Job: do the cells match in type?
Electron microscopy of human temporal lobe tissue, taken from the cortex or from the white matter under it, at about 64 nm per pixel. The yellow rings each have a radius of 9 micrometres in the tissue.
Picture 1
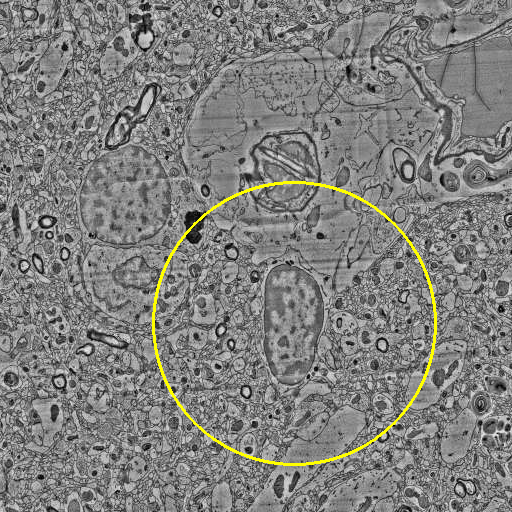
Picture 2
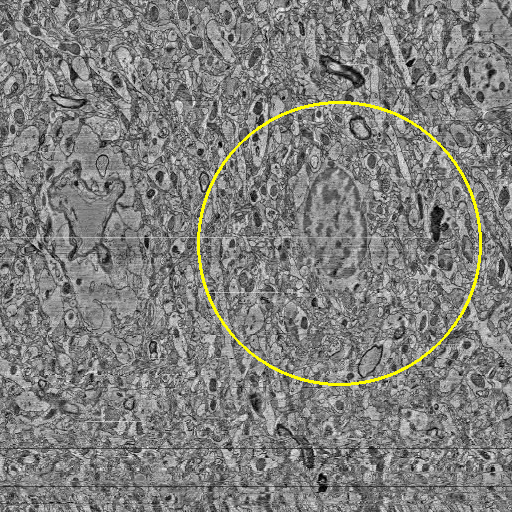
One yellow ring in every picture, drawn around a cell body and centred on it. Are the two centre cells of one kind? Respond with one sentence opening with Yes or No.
No, the ringed cells in the two pictures are of two separate kinds.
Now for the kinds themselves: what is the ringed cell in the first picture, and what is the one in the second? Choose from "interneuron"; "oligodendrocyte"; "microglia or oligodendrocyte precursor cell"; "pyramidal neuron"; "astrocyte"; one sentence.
Here the first cell is a microglial cell or oligodendrocyte precursor cell and the second cell is an oligodendrocyte.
